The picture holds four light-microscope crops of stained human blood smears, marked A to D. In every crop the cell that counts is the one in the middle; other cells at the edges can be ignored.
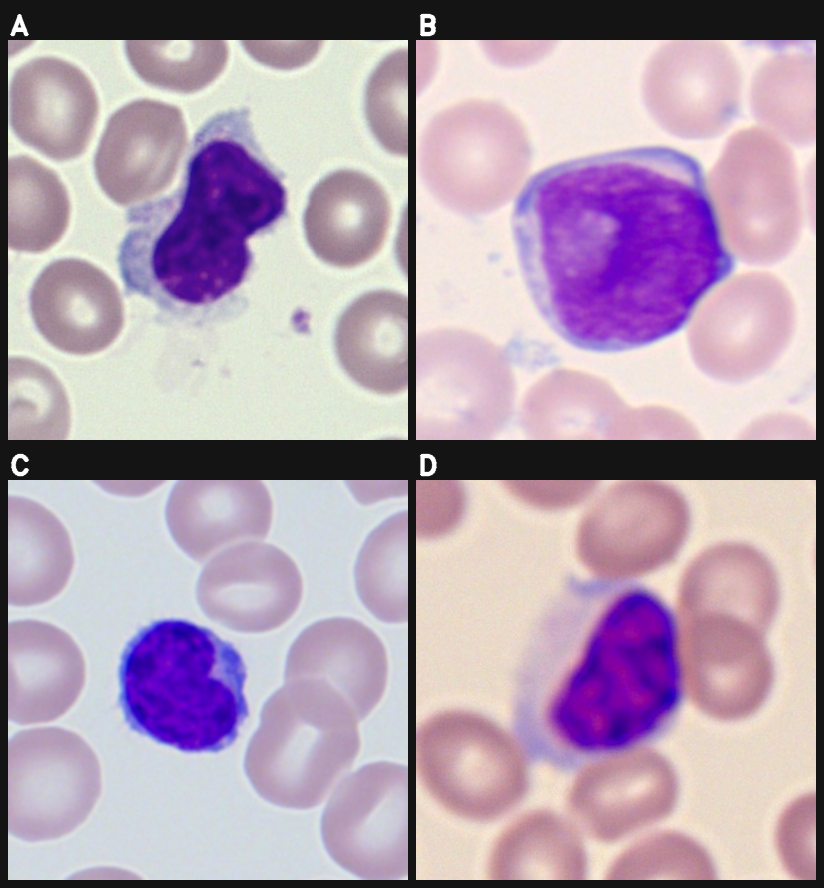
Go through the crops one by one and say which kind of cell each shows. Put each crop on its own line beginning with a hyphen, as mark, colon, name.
- A: lymphocyte
- B: blast
- C: lymphocyte
- D: lymphocyte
